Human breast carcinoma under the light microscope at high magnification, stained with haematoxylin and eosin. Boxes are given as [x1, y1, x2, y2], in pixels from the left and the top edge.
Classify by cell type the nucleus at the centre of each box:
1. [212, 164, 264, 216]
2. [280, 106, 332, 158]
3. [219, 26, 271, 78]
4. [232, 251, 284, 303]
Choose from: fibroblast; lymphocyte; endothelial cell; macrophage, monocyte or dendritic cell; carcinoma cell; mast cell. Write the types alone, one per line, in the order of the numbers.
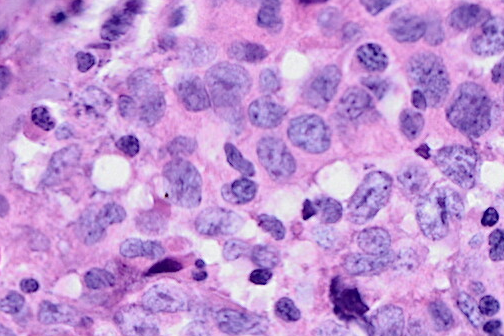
carcinoma cell
carcinoma cell
carcinoma cell
lymphocyte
